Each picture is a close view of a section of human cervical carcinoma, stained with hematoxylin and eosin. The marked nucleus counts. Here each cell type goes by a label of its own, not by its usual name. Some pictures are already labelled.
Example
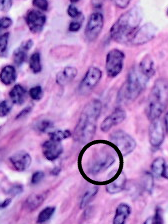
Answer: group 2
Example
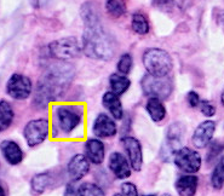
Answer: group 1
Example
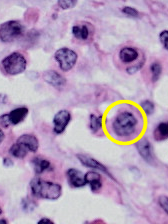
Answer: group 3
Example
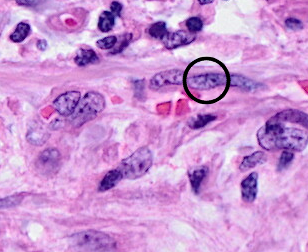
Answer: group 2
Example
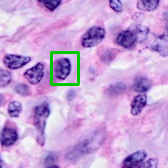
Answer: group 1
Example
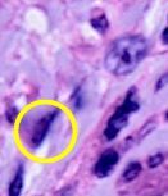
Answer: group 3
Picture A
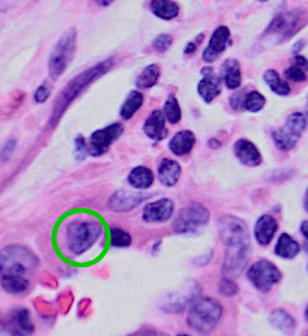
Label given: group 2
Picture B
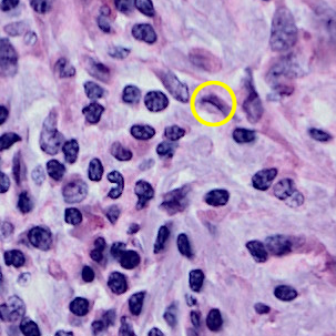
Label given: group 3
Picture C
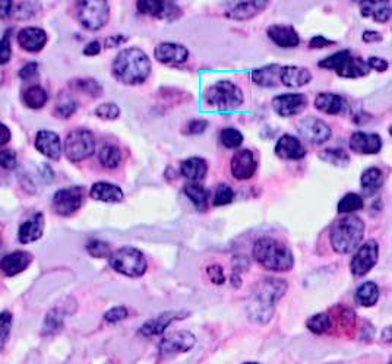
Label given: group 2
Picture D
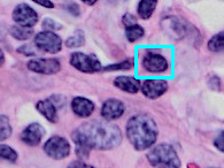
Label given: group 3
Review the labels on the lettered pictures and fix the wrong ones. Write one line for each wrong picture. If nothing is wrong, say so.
C should be group 1, not group 2
D should be group 1, not group 3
